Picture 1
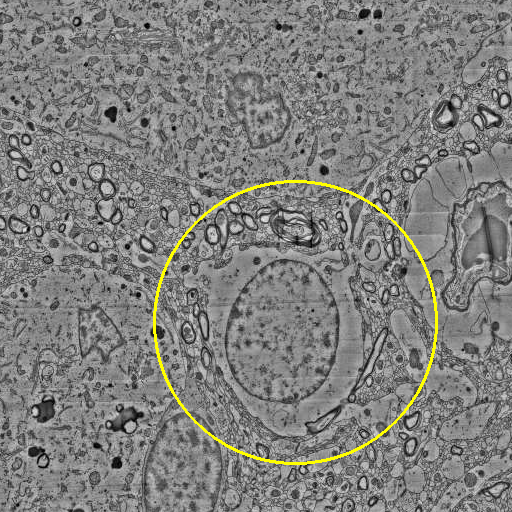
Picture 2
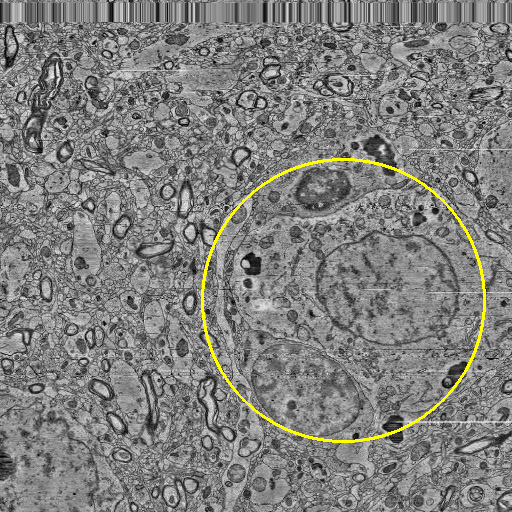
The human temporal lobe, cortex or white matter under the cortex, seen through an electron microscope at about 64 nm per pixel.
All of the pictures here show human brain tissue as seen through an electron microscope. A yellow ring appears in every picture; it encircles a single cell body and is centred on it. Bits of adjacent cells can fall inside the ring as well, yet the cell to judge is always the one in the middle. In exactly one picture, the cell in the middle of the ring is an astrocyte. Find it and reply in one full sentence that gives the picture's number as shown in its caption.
Of all the pictures, picture 1 has the right cell at the centre of its ring.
